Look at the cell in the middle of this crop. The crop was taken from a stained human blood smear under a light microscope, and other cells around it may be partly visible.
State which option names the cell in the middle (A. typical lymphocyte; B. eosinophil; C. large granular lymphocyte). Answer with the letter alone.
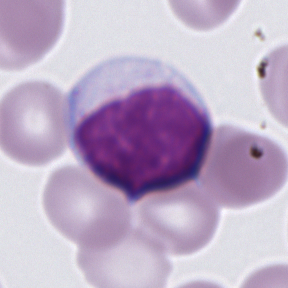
C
